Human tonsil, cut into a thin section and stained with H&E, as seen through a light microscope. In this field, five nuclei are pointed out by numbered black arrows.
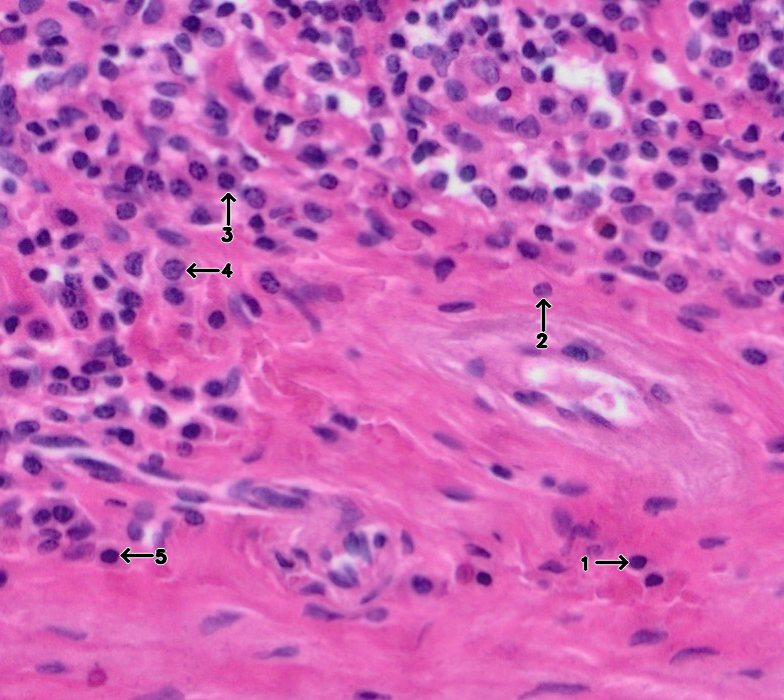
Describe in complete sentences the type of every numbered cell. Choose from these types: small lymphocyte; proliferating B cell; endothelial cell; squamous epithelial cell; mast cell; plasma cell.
Cells 1, 2 and 5 are mast cells. Cells 3 and 4 are plasma cells.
